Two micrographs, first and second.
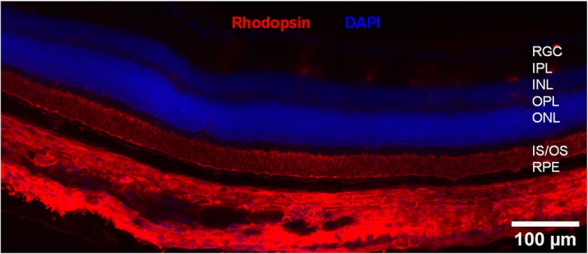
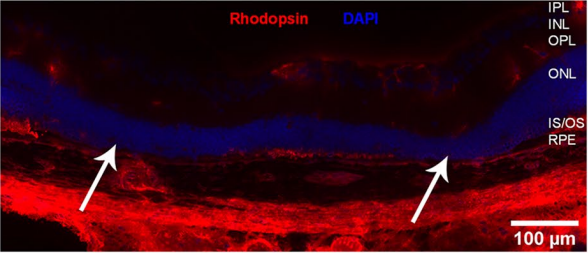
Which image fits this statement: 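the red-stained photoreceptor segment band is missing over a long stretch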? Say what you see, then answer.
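The second image. First image: a continuous red band runs beneath the blue nuclear layers along the whole section.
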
